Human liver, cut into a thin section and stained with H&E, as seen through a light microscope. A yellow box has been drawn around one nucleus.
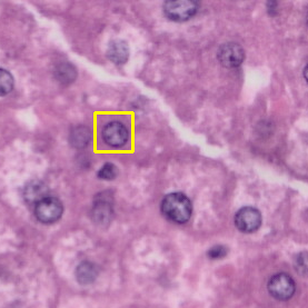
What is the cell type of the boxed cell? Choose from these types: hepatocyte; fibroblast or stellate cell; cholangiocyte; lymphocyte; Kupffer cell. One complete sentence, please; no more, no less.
By cell type, the boxed cell is a hepatocyte.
